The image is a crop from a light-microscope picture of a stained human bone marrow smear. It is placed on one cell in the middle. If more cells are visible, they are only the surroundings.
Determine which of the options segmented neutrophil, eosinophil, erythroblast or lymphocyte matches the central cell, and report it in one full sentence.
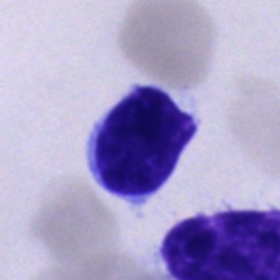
What sits at the centre of this crop is a lymphocyte.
